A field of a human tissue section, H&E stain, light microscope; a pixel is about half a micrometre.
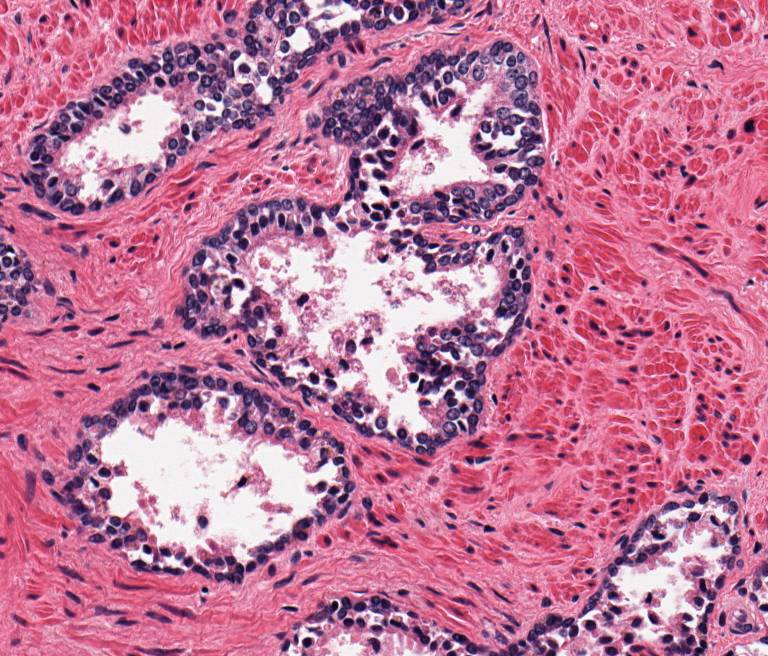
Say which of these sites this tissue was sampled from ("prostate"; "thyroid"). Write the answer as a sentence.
The site this tissue was sampled from is the prostate.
